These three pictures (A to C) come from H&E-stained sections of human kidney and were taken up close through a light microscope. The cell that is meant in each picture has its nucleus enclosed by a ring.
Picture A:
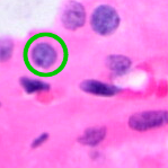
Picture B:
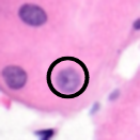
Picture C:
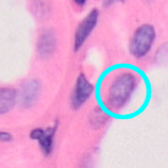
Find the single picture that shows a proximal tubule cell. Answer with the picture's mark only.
B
